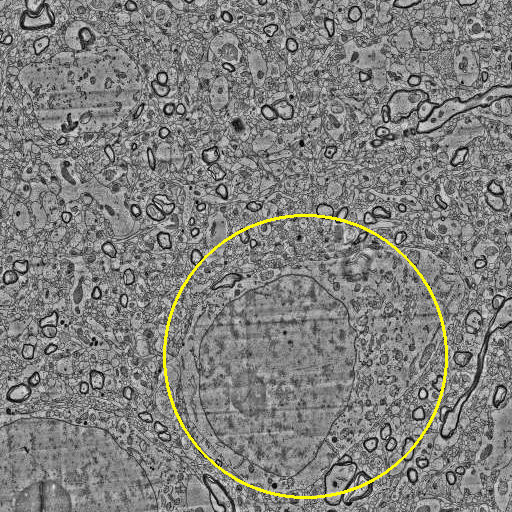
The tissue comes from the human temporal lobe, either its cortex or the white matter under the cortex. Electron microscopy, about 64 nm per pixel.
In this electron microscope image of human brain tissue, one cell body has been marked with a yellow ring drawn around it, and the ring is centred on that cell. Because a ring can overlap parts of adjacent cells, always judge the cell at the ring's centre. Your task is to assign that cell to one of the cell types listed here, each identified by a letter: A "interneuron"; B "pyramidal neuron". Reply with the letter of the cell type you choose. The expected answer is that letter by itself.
B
